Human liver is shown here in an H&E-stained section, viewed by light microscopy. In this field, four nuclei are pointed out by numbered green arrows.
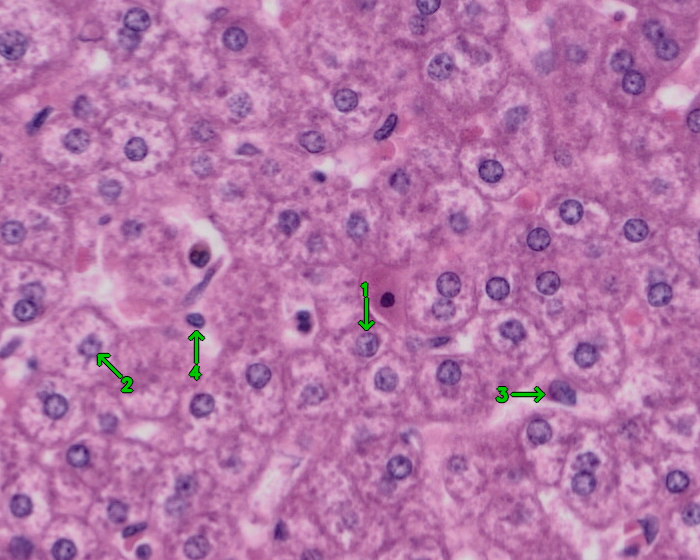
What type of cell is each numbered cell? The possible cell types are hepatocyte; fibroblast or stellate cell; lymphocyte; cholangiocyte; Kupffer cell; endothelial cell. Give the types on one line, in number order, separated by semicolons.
hepatocyte; hepatocyte; Kupffer cell; lymphocyte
